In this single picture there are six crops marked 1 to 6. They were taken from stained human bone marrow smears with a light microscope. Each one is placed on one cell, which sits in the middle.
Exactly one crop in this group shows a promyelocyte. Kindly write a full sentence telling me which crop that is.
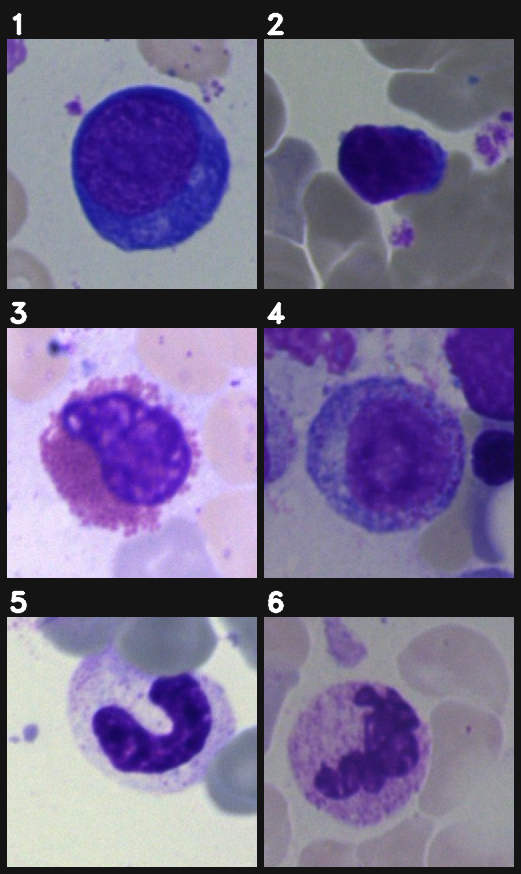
It is crop 4 that shows a promyelocyte.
